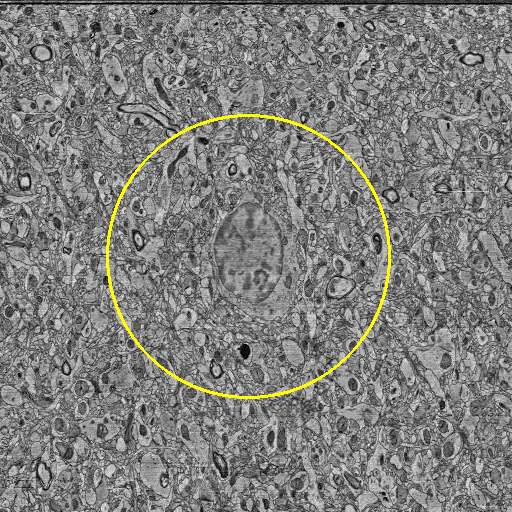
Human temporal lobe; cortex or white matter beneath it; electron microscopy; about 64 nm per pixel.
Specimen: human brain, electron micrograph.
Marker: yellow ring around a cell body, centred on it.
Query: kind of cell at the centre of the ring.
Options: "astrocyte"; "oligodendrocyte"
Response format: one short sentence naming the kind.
This cell body belongs to an oligodendrocyte.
